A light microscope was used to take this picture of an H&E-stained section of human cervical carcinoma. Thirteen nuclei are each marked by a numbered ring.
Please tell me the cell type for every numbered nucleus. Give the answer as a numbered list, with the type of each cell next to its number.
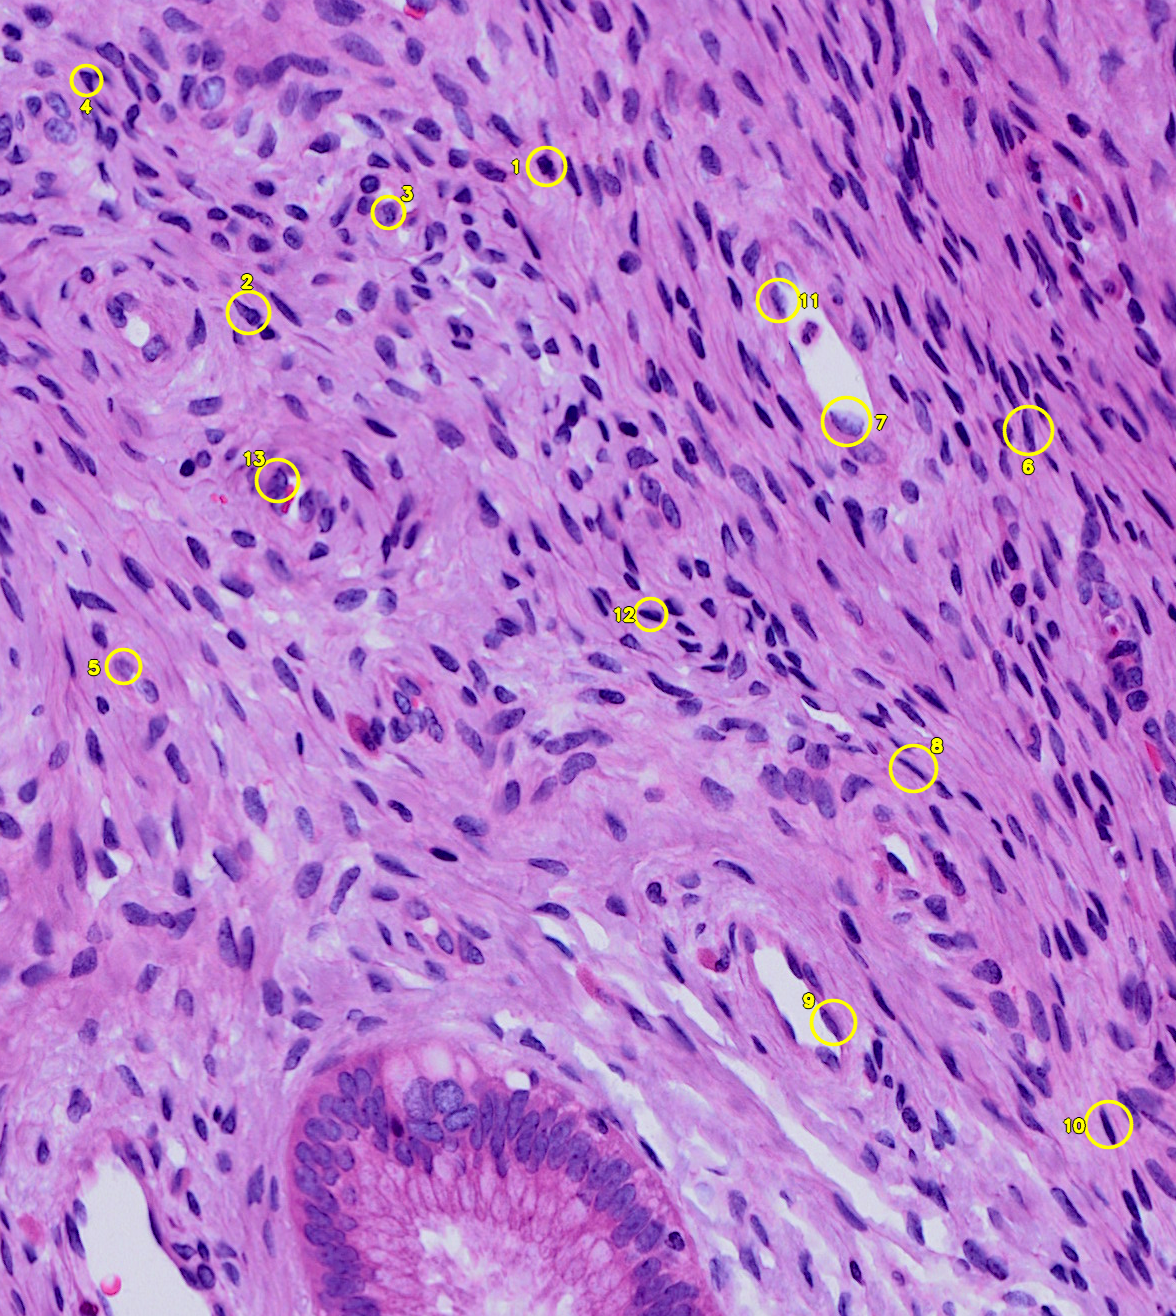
1. lymphocyte
2. fibroblast
3. endothelial cell
4. fibroblast
5. endothelial cell
6. fibroblast
7. endothelial cell
8. fibroblast
9. endothelial cell
10. fibroblast
11. endothelial cell
12. fibroblast
13. endothelial cell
